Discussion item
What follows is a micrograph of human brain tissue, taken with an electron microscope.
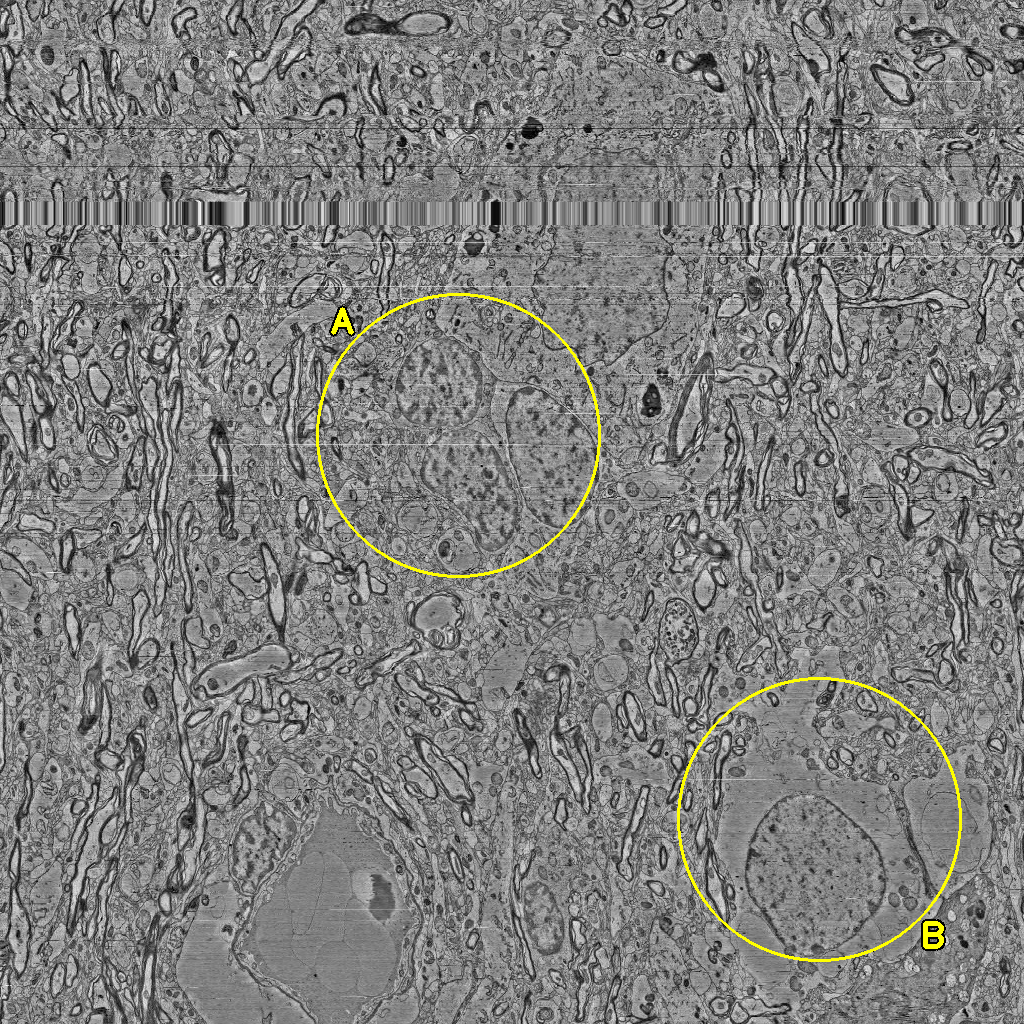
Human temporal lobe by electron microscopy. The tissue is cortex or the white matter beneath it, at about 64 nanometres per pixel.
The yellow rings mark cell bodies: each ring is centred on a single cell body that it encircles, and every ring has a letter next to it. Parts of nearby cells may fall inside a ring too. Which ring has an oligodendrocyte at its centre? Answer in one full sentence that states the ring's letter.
Ring A is the ring whose centre falls on the cell the question asks about.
